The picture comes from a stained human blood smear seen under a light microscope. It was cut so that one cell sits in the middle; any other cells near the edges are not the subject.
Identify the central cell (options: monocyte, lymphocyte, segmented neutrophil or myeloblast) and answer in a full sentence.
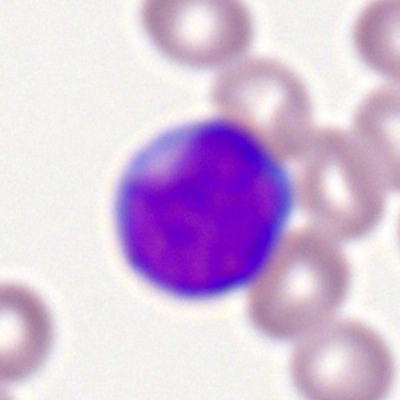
The cell centred in this crop is categorized as a myeloblast.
